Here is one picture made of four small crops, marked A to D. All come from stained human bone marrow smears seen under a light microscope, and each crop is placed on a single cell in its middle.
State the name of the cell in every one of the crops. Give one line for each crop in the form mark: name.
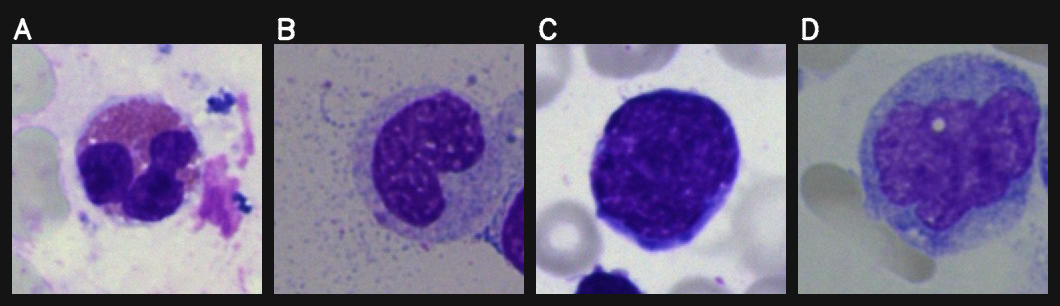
A: eosinophil
B: band neutrophil
C: blast
D: monocyte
